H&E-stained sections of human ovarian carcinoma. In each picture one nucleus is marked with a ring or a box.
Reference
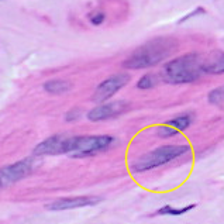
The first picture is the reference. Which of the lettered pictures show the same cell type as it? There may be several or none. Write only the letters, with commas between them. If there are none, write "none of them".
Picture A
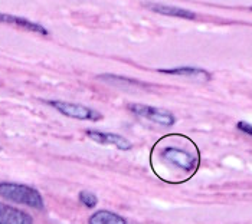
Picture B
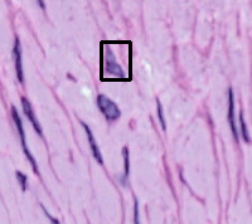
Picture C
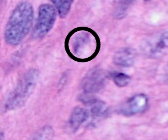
none of them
